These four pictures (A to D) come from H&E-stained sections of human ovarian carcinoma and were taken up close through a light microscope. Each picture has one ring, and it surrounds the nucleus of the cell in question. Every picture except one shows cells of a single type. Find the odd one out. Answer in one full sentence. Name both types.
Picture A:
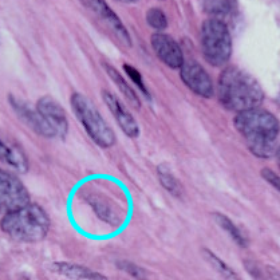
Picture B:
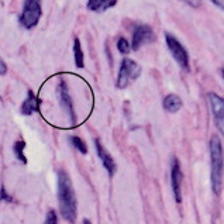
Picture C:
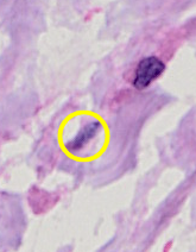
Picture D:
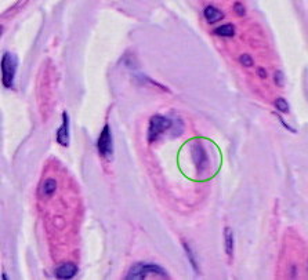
The others show fibroblasts, but picture D shows an endothelial cell.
